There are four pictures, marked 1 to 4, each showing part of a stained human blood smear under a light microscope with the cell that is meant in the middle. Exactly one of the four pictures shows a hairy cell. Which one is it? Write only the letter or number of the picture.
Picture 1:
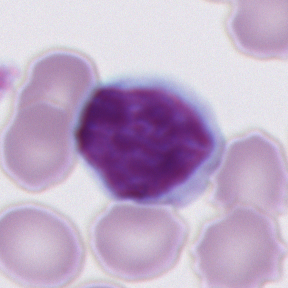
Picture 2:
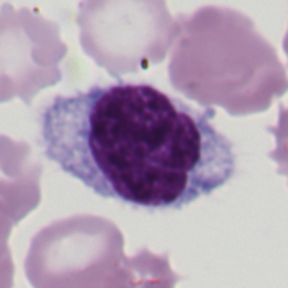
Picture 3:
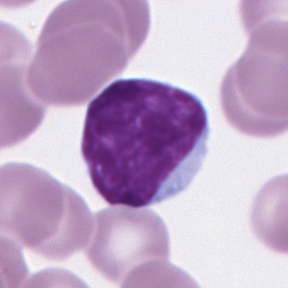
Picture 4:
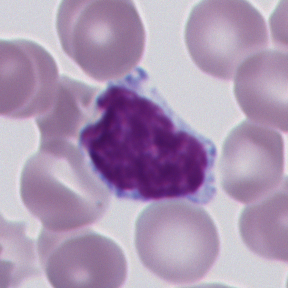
2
